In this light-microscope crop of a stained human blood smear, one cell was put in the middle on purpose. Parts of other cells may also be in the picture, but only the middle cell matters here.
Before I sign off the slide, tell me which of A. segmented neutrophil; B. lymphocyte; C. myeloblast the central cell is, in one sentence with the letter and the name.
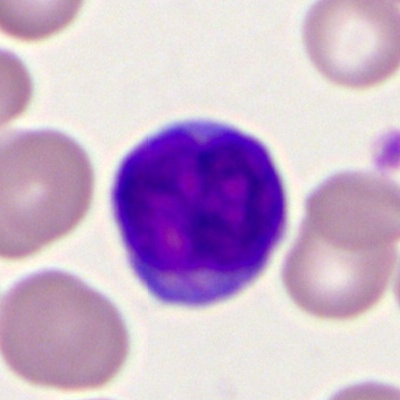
Identified correctly by option C, the cell in the middle is a myeloblast.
